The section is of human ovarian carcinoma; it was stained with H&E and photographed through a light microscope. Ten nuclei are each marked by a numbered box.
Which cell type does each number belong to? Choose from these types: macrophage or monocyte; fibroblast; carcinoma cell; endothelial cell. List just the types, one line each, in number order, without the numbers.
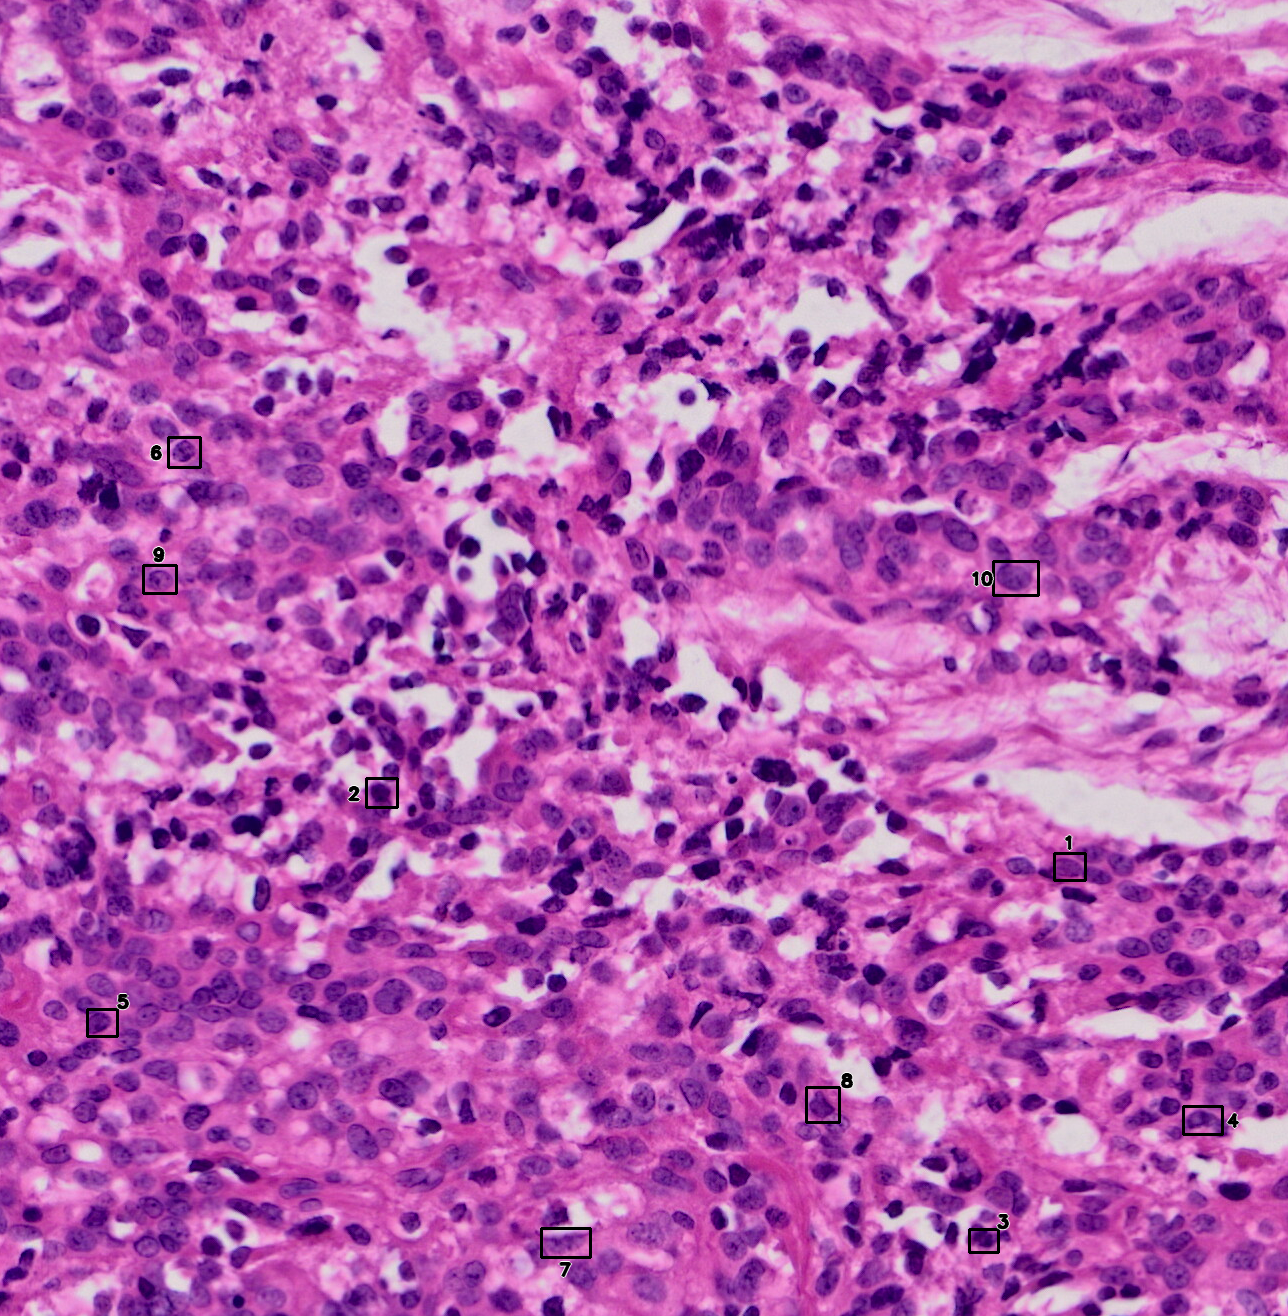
carcinoma cell
carcinoma cell
macrophage or monocyte
macrophage or monocyte
carcinoma cell
macrophage or monocyte
carcinoma cell
carcinoma cell
macrophage or monocyte
carcinoma cell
